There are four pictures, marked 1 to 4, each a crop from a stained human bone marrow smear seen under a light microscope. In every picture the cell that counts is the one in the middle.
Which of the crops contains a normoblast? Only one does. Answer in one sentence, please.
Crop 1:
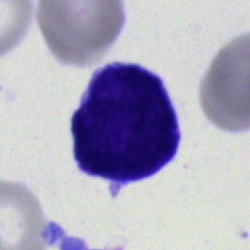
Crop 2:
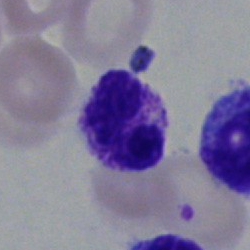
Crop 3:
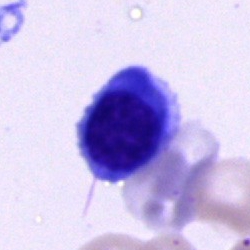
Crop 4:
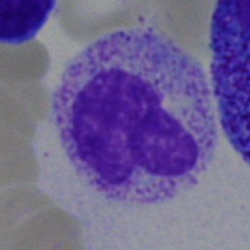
Crop 3 is the crop whose central cell is a normoblast.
